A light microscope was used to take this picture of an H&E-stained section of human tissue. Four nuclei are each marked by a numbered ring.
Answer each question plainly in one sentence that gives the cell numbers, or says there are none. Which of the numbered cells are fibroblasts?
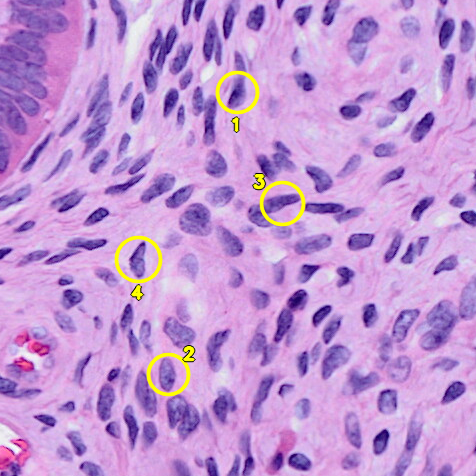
The cells given the numbers 1, 3 and 4 are fibroblasts.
